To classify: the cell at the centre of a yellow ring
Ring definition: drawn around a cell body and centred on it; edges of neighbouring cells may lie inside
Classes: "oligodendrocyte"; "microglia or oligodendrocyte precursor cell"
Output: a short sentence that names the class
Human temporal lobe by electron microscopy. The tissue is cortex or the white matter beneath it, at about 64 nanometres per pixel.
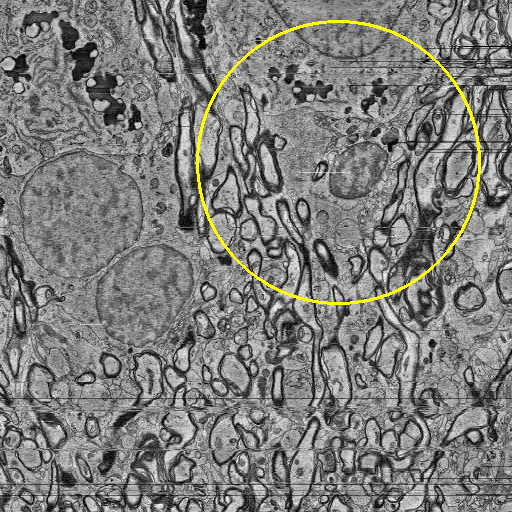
The ringed cell is a microglial cell or oligodendrocyte precursor cell.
